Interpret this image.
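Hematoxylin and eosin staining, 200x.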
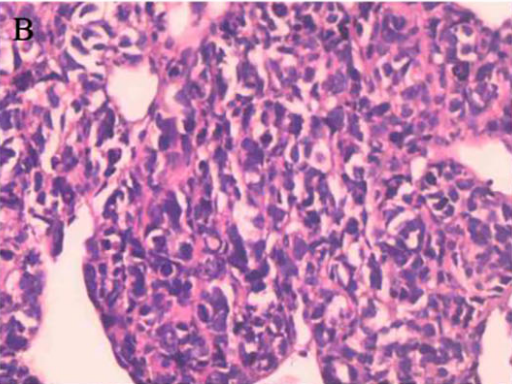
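This is tumor tissue made of crowded malignant cells arranged in solid nests. The nests are separated by thin pink fibrous septa and irregular clear spaces. The cells have large, dark purple nuclei with irregular, angular outlines that vary from cell to cell. Cytoplasm is scant and pale pink, so nuclei lie close together and often overlap. No glandular lumens or orderly layering are seen within the nests.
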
